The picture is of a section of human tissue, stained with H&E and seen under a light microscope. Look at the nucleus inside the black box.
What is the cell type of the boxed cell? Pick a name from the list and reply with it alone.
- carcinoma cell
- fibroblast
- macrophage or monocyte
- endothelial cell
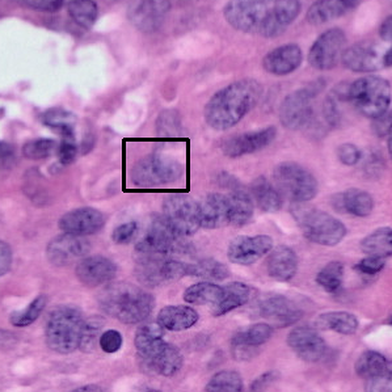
endothelial cell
